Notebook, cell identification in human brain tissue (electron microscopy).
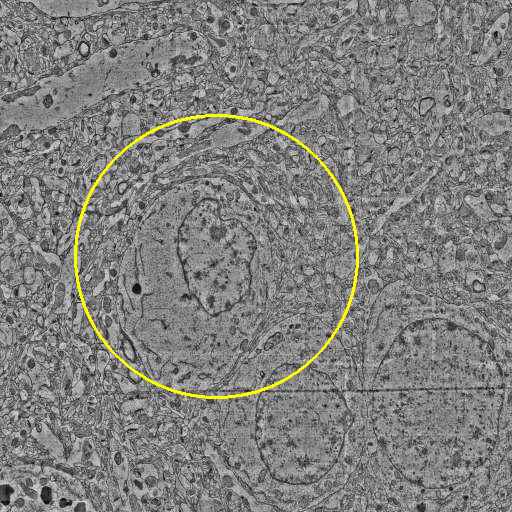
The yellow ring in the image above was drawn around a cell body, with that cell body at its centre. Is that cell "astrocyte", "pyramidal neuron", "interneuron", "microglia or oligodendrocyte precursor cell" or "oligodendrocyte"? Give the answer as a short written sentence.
The cell in the ring is a pyramidal neuron.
